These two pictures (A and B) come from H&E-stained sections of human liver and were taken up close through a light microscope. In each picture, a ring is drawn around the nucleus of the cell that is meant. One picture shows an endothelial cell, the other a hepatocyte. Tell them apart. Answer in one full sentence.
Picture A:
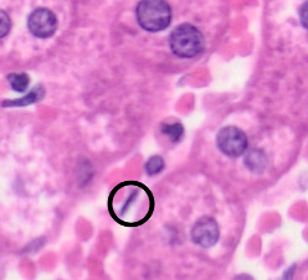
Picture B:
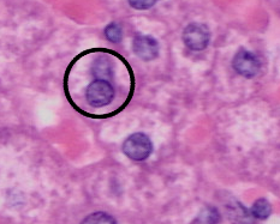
Picture B shows a hepatocyte, while picture A shows an endothelial cell.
